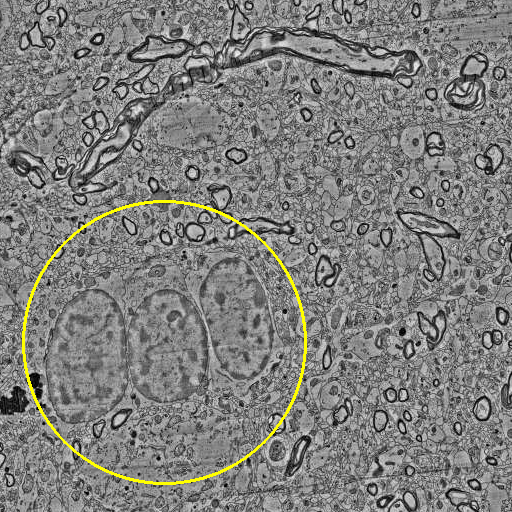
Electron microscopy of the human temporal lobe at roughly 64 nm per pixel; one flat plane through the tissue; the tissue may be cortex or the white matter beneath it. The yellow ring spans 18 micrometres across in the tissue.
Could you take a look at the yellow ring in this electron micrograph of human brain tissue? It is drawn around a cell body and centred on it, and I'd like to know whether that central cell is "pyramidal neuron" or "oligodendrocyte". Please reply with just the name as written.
oligodendrocyte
